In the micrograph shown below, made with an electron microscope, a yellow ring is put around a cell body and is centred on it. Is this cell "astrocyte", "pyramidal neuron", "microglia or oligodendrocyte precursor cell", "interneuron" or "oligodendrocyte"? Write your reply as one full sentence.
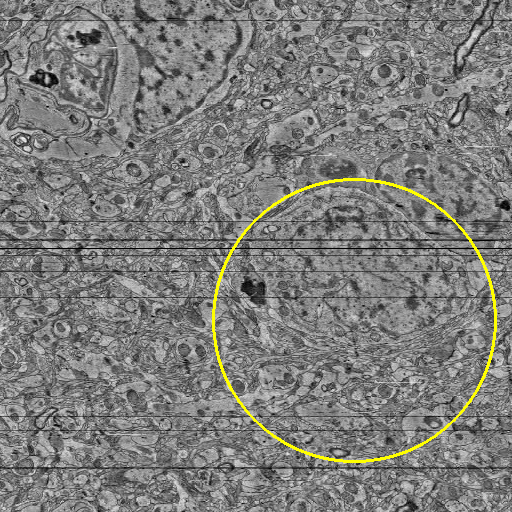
In the micrograph, an interneuron is the cell at the centre of the yellow ring.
